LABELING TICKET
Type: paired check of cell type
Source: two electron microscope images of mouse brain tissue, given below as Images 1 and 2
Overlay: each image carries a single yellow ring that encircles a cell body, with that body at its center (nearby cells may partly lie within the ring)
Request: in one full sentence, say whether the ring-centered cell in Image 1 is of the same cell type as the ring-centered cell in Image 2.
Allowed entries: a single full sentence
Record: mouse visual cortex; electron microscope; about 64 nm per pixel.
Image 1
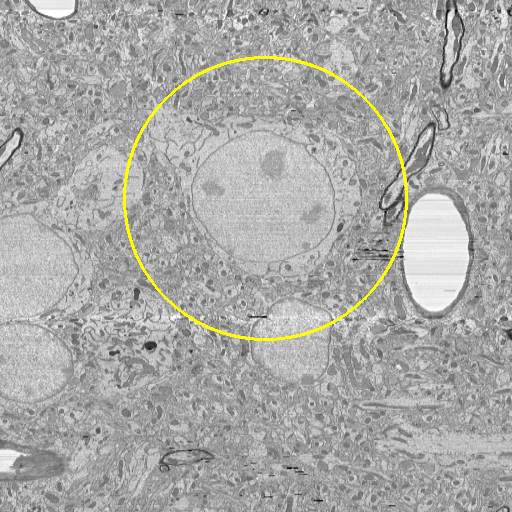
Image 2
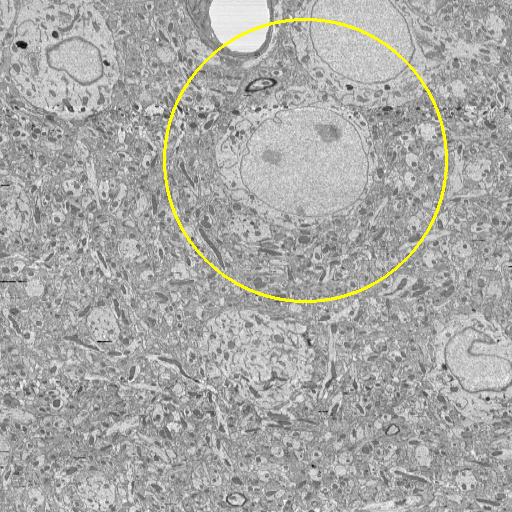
Yes, the cells centered in the rings of Image 1 and Image 2 share one type.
